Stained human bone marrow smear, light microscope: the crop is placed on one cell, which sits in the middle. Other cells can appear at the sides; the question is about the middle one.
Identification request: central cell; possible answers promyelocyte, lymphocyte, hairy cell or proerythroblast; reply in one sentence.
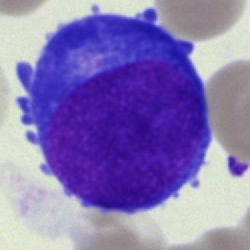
Where the crop is centred, there is a proerythroblast.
